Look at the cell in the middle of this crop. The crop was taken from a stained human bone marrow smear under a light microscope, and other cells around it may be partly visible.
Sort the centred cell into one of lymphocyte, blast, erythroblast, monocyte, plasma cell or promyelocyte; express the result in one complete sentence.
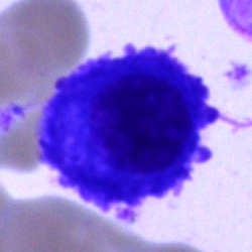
The cell centred in this crop is categorized as a plasma cell.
